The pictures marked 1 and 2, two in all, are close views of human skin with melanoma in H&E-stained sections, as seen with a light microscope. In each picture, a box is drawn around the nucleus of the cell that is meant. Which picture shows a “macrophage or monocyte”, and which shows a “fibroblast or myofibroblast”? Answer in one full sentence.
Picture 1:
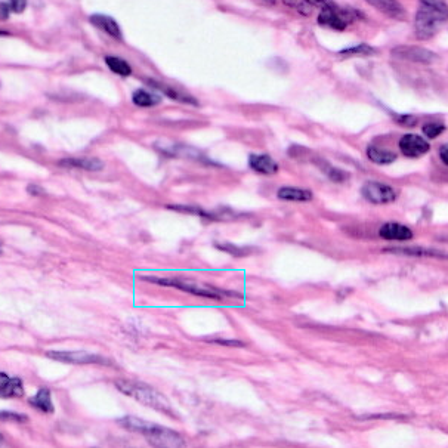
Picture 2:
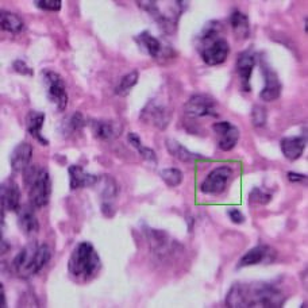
The cell in picture 1 is a “fibroblast or myofibroblast”, and the one in picture 2 is a “macrophage or monocyte”.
